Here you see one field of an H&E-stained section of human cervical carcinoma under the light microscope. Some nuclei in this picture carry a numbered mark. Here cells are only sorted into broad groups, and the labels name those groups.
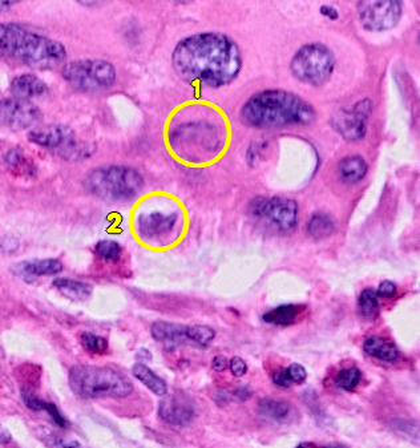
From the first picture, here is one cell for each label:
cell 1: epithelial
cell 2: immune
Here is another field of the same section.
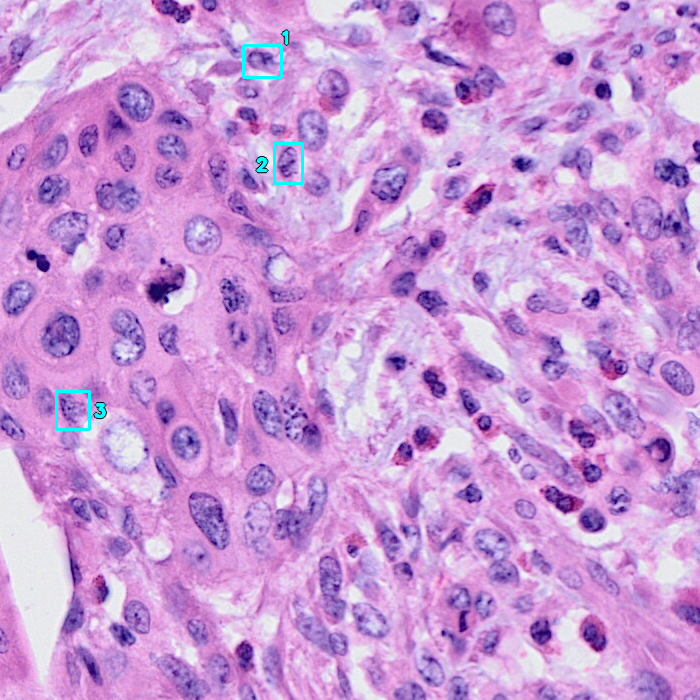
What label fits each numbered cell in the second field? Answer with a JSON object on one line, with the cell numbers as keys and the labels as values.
{"1": "immune", "2": "immune", "3": "epithelial"}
